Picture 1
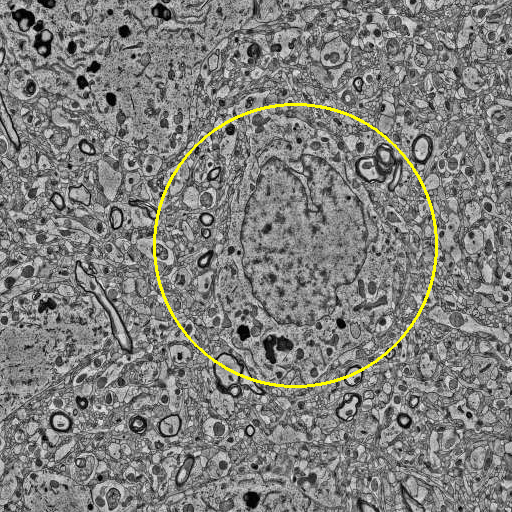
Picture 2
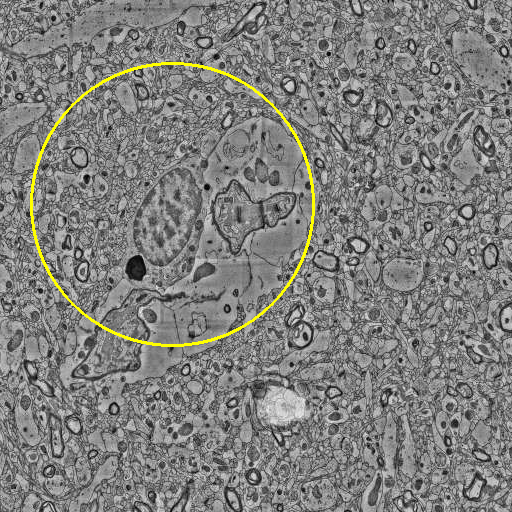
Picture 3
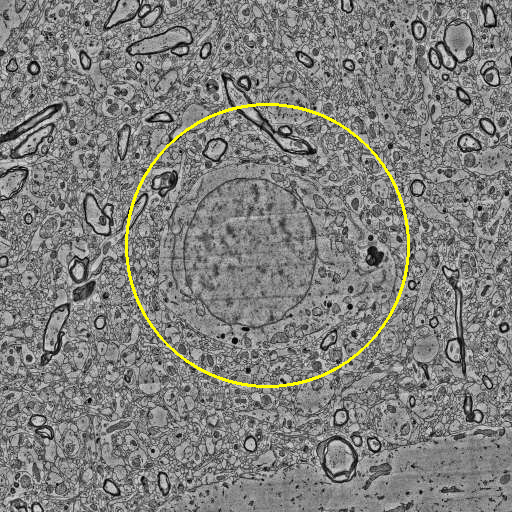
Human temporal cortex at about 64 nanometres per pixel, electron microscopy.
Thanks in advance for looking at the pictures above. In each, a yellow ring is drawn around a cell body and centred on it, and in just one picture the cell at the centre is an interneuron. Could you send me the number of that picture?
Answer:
1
